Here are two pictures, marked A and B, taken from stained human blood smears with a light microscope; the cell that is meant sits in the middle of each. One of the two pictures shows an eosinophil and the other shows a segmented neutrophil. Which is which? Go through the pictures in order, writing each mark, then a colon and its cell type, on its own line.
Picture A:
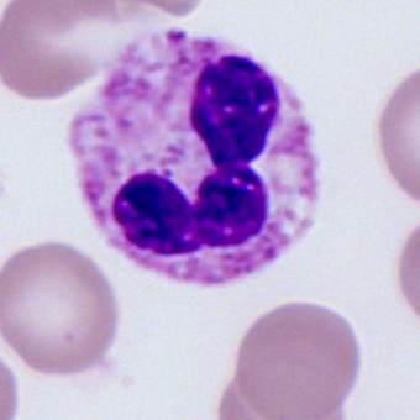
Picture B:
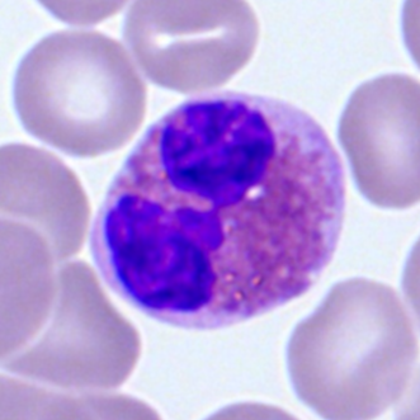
A: segmented neutrophil
B: eosinophil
